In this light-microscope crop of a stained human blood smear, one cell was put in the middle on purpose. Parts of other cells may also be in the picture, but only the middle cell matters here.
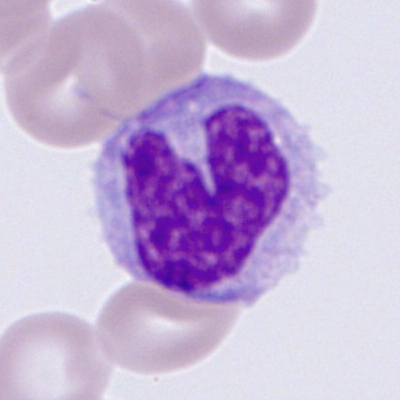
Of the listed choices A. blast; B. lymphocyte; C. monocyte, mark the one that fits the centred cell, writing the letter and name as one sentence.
The cell in the middle is correctly identified as a monocyte in option C.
